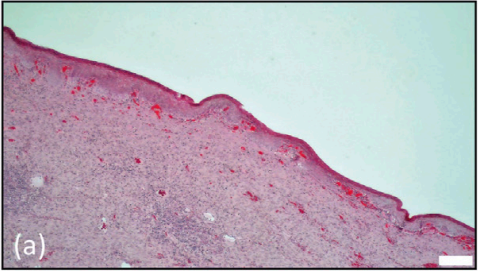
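A section of healing skin covered by a thin, flat pink epidermis that lacks downward ridges. The dermis beneath is pale pink and densely dotted with small dark nuclei, and scattered bright red patches of blood lie in its upper part.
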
